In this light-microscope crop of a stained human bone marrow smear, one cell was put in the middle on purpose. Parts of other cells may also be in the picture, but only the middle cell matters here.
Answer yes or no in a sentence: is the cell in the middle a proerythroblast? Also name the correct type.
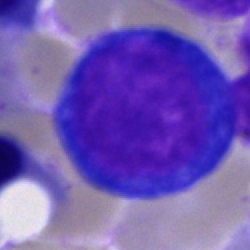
Yes, the cell lying in the centre of the crop is identified as a proerythroblast.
